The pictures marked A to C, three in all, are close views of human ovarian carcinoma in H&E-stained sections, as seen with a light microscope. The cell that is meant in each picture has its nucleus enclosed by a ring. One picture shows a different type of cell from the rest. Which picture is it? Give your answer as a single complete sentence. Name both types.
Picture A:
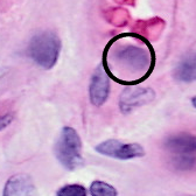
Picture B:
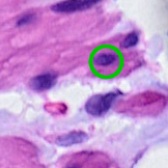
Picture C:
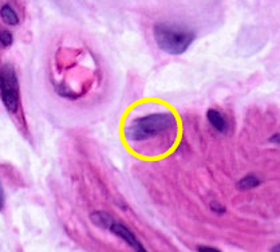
All pictures except A show smooth muscle cells; picture A shows an endothelial cell.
